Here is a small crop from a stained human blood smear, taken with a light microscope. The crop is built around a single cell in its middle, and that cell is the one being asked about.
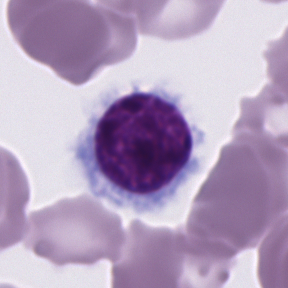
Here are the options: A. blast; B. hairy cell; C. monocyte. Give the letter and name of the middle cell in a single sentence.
Option B gives the correct identity of the central cell, namely a hairy cell.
